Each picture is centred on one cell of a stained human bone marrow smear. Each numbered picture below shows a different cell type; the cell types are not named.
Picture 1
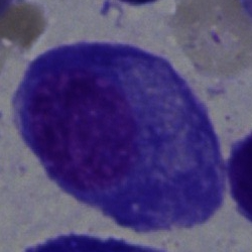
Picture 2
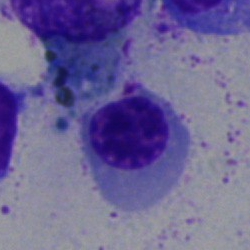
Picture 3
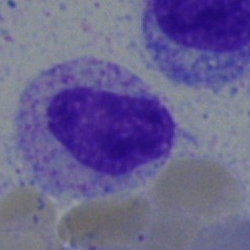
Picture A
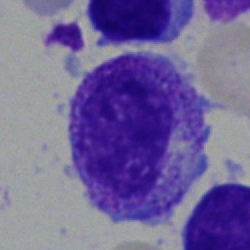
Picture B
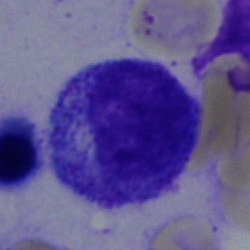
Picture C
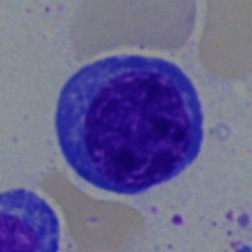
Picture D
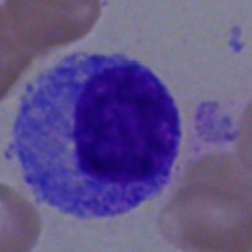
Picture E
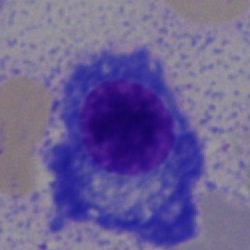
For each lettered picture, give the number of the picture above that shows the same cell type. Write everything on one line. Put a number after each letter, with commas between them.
A 3, B 3, C 2, D 3, E 1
